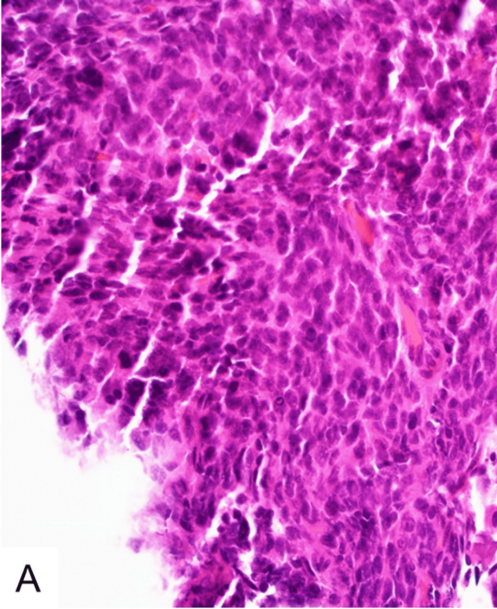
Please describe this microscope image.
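Highly cellular neoplastic tissue made of densely packed, poorly differentiated cells arranged in solid sheets. Nuclei are large, ovoid to irregular, and darkly stained purple, with coarse chromatin, and they occupy most of each cell. Cytoplasm is scant and pink, and cell borders are indistinct. Small clefts and a few red blood cells lie among the tumor cells, with little intervening stroma. No glandular or otherwise organized architecture is seen.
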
